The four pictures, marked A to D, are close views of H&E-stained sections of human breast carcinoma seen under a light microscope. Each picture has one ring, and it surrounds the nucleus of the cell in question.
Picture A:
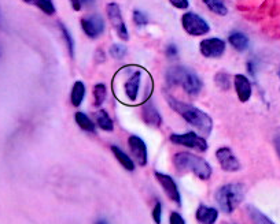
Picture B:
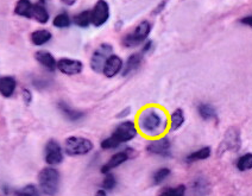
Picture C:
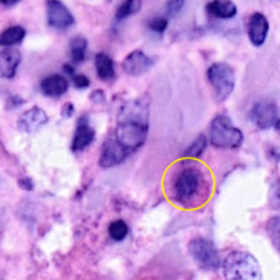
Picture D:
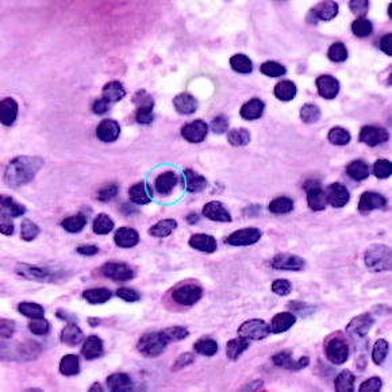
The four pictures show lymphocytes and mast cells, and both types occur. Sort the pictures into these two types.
A: lymphocyte
B: lymphocyte
C: mast cell
D: lymphocyte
